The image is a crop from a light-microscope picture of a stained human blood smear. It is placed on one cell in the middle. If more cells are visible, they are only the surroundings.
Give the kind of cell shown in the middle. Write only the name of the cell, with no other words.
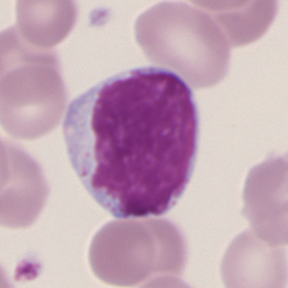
large granular lymphocyte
